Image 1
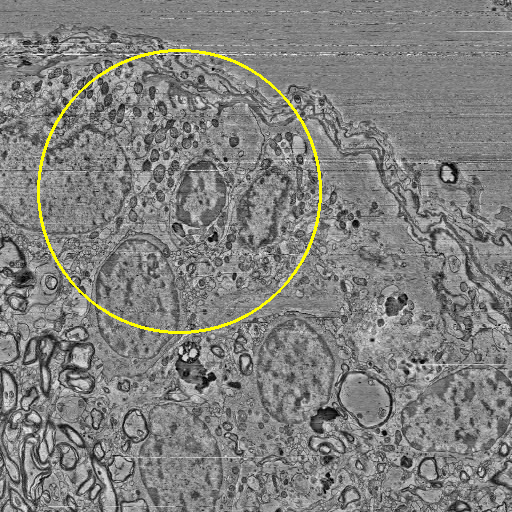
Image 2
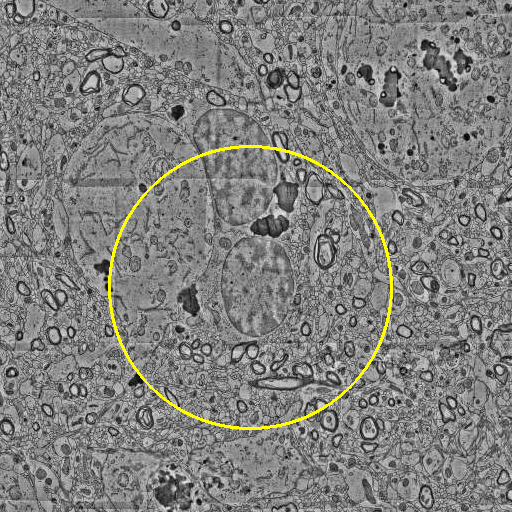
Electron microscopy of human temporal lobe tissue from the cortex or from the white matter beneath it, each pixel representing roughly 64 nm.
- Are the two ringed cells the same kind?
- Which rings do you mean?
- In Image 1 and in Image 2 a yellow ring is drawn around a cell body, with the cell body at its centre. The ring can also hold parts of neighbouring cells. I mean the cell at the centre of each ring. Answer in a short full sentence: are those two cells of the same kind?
No, the cells are of two kinds.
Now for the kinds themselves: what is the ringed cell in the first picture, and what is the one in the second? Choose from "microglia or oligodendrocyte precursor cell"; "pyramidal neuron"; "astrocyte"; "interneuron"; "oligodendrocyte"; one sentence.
Here the first cell is a microglial cell or oligodendrocyte precursor cell and the second cell is an oligodendrocyte.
